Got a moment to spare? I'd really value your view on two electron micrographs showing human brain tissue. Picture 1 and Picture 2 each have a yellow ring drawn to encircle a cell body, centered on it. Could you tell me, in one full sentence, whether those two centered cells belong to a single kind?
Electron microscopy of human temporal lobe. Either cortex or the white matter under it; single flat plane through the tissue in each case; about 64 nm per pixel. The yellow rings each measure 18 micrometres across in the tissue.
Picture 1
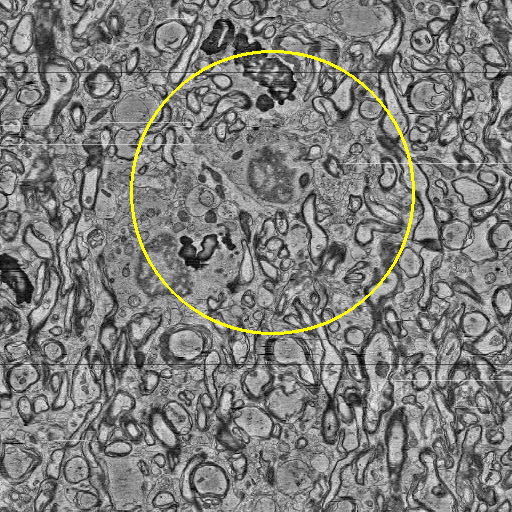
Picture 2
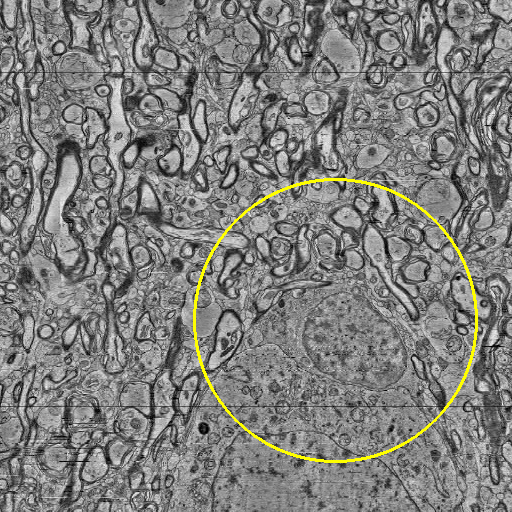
Yes, the two centered cells in Picture 1 and Picture 2 are of a single kind.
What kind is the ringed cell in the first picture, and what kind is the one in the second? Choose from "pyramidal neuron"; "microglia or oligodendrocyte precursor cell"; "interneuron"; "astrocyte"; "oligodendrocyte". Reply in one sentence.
Each of the two pictures has an oligodendrocyte at the ring centre.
